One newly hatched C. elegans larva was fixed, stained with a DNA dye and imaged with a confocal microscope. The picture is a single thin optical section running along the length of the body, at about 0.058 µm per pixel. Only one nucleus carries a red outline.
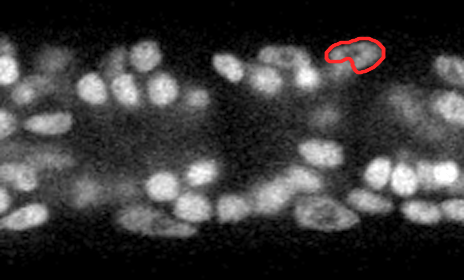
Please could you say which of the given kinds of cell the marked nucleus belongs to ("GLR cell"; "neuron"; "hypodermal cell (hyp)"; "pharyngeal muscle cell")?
hypodermal cell (hyp)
